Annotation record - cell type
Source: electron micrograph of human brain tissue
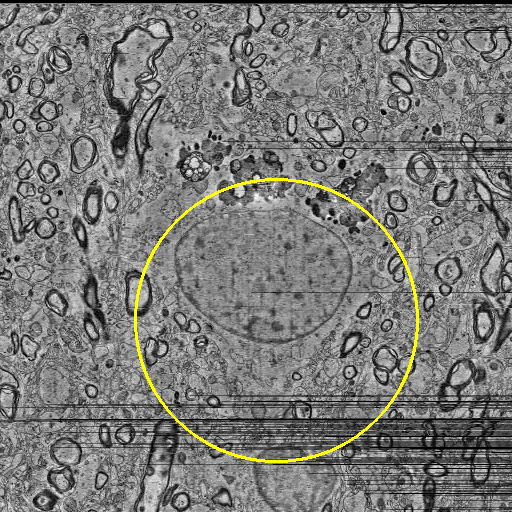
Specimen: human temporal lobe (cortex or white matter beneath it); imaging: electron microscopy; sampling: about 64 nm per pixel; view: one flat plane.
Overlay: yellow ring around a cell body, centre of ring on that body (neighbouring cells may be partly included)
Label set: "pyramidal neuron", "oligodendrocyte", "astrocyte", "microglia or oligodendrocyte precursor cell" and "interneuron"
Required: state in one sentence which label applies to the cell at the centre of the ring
This cell should be labelled as an astrocyte.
